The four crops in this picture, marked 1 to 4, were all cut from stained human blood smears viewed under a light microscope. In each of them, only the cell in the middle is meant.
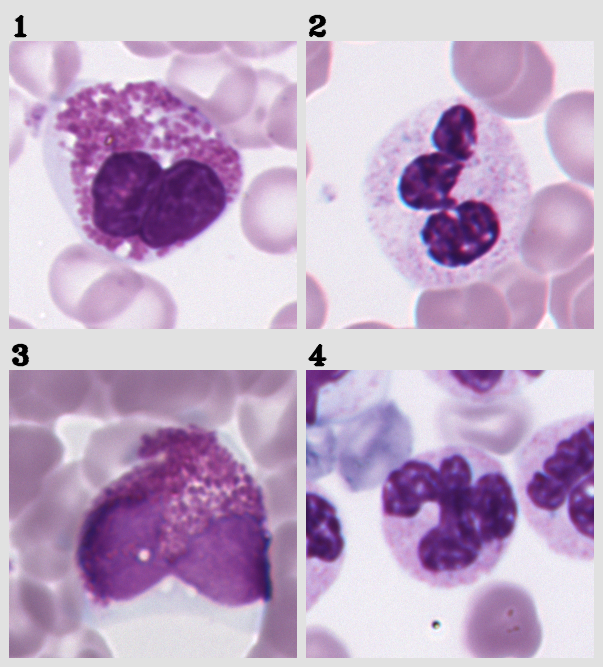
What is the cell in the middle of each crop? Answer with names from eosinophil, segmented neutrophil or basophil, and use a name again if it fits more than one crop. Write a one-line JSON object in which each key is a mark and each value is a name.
{"1": "eosinophil", "2": "segmented neutrophil", "3": "eosinophil", "4": "segmented neutrophil"}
